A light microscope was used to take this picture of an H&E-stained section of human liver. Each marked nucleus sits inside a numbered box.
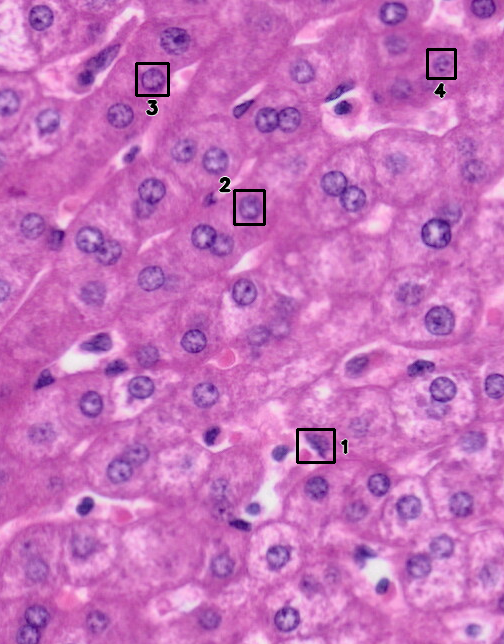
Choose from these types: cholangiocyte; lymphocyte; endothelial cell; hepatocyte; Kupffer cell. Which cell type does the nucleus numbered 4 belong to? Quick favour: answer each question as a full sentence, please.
Of the numbered cells, the one labelled 4 is a hepatocyte.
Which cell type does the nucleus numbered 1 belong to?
The cell with the number 1 is an endothelial cell.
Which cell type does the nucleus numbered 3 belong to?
Cell 3 of the marked set is a hepatocyte.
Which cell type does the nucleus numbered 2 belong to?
Looking at the numbered marks, cell 2 is a hepatocyte.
